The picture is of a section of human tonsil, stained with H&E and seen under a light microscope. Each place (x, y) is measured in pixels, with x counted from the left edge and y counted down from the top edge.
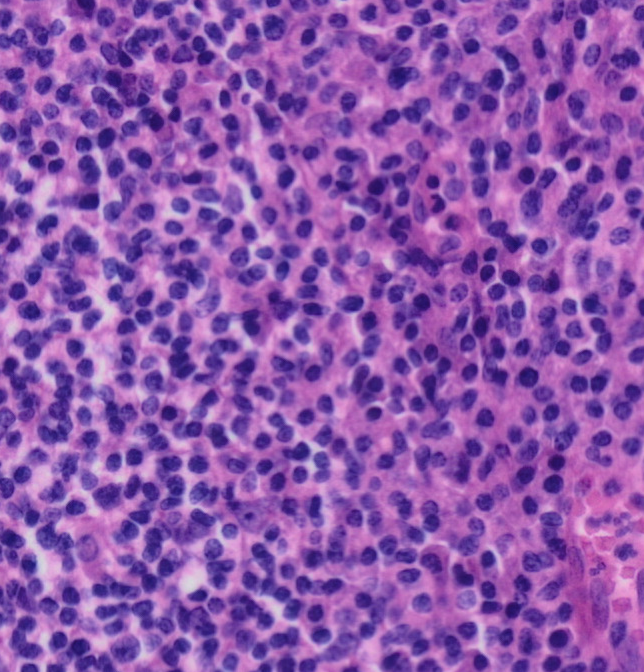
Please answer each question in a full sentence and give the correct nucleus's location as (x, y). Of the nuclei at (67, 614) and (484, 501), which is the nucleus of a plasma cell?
It is the nucleus at (484, 501) that belongs to a plasma cell.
